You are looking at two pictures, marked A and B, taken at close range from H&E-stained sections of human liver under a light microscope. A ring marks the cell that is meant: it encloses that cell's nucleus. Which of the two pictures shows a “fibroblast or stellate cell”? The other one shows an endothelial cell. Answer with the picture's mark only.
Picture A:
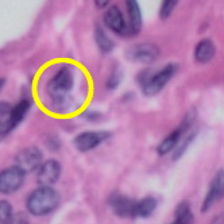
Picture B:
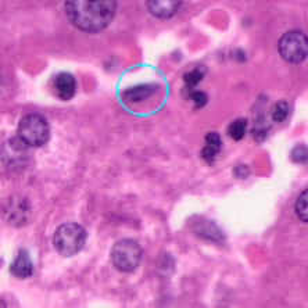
A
